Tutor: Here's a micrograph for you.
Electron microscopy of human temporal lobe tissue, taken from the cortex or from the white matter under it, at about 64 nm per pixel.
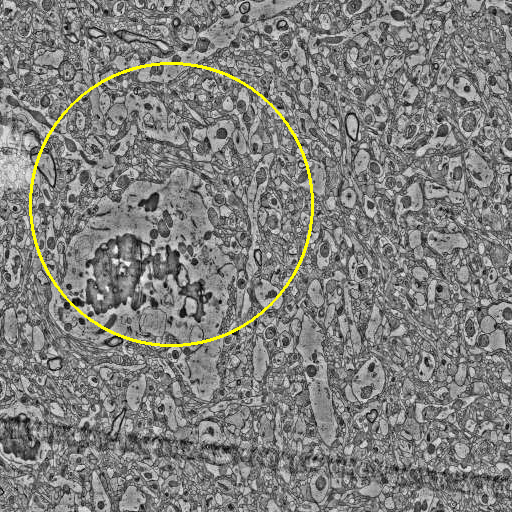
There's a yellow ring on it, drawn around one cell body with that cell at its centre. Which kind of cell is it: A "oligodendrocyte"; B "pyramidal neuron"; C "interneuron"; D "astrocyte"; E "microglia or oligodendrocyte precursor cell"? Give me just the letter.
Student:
D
